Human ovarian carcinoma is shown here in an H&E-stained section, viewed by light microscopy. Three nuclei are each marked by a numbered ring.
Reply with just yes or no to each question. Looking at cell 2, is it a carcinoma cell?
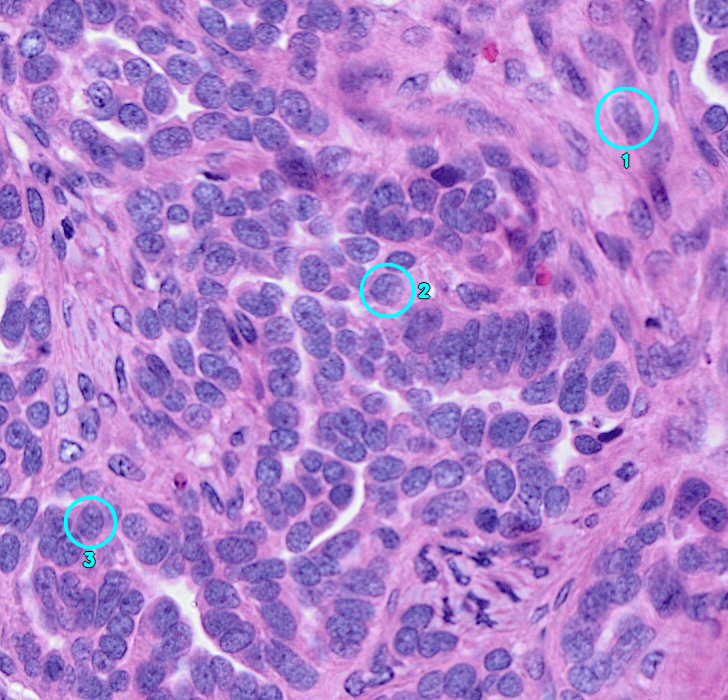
yes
